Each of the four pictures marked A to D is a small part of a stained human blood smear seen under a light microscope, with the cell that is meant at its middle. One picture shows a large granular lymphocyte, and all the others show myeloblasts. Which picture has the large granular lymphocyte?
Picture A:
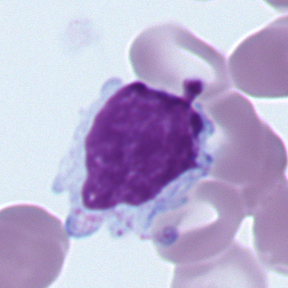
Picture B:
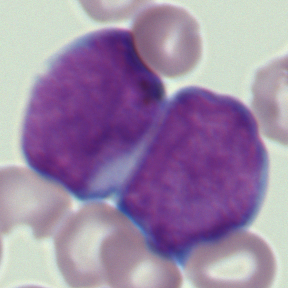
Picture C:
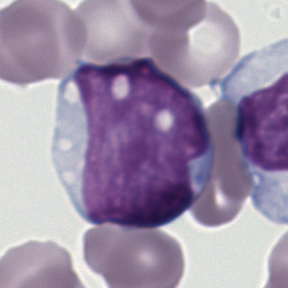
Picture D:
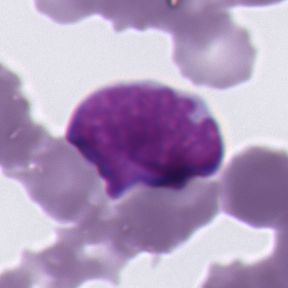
A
